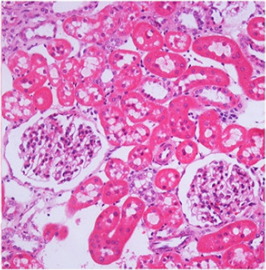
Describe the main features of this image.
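This is kidney cortex with two glomeruli surrounded by many tightly packed renal tubules. The tubules are lined by epithelial cells with plentiful deep pink cytoplasm and small round dark nuclei, leaving narrow lumens. The glomeruli are rounded tufts of capillaries and nuclei, each set within a thin capsule and a narrow clear space.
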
